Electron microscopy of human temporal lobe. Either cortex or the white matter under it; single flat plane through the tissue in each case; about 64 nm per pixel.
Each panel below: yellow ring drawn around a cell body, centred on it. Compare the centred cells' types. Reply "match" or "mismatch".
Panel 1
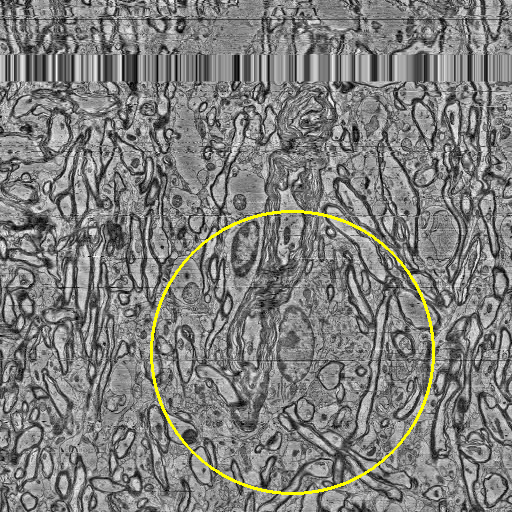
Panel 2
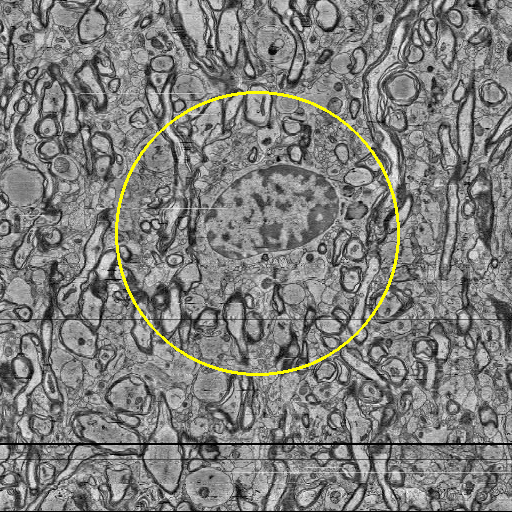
match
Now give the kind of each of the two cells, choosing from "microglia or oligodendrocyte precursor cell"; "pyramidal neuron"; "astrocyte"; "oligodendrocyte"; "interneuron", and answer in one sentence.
The first and the second cell are each a microglial cell or oligodendrocyte precursor cell.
